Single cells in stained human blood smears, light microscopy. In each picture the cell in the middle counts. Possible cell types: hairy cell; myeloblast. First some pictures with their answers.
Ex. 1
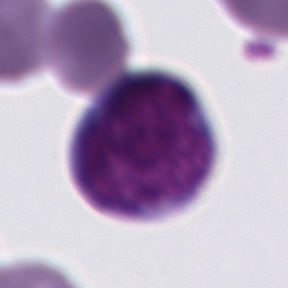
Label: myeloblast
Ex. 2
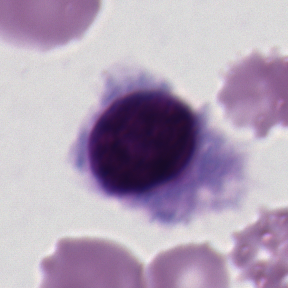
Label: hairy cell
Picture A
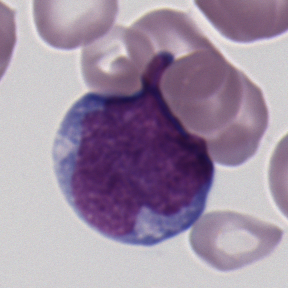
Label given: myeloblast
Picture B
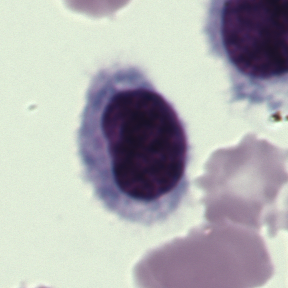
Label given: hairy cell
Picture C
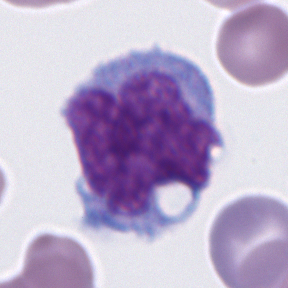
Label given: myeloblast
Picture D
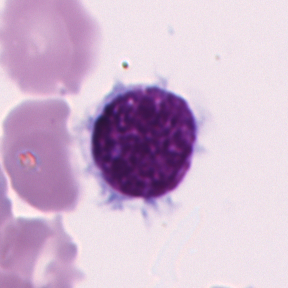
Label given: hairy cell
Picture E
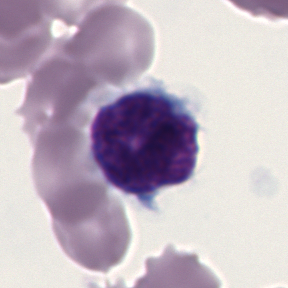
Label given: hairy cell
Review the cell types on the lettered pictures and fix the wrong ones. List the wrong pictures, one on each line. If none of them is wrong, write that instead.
No label is wrong.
